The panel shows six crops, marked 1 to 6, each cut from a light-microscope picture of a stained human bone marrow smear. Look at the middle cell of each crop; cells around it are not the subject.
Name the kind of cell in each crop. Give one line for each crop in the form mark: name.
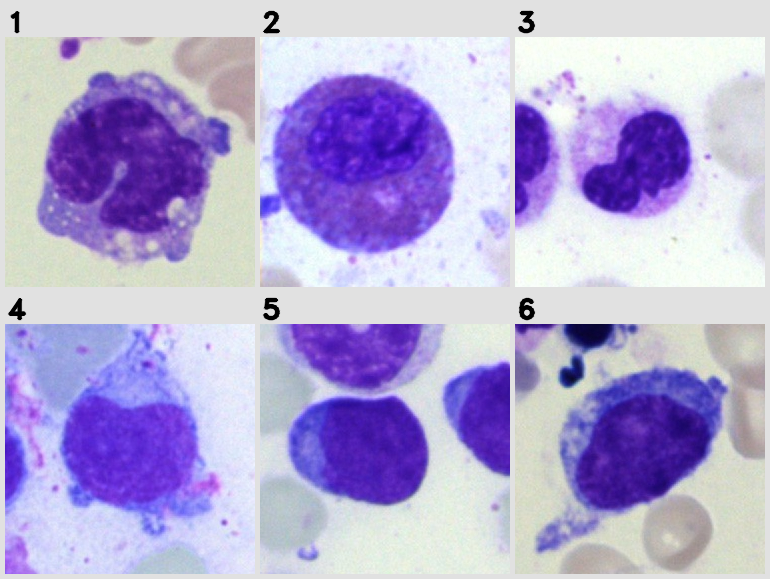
1: monocyte
2: eosinophil
3: band neutrophil
4: hairy cell
5: blast
6: blast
